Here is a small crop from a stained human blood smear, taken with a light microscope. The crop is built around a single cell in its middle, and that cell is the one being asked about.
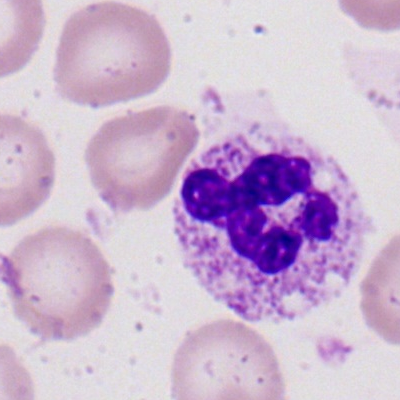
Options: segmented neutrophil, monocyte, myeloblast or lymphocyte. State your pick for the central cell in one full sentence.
By type, the central cell of the crop is a segmented neutrophil.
